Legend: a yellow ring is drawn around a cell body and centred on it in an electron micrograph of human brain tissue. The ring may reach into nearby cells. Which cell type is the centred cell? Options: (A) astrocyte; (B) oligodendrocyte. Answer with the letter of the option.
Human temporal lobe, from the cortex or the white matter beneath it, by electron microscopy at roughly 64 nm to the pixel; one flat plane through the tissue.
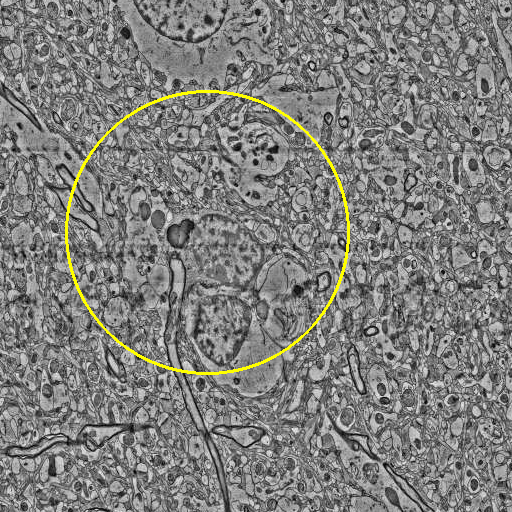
B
